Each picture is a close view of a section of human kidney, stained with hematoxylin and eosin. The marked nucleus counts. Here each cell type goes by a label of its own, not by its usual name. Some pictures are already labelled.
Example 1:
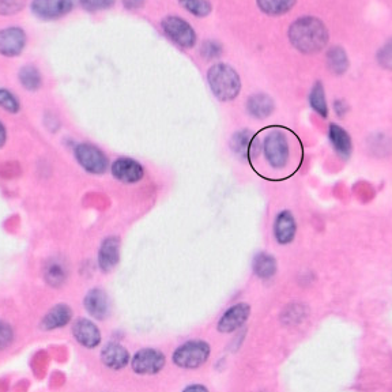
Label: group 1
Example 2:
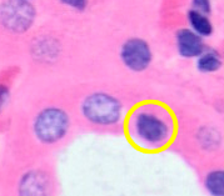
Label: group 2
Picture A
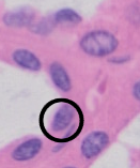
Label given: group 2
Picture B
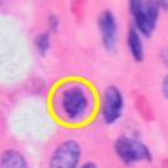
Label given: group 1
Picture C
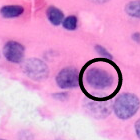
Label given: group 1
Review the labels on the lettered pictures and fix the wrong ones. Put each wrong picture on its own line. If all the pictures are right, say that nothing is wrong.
B: change group 1 to group 2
